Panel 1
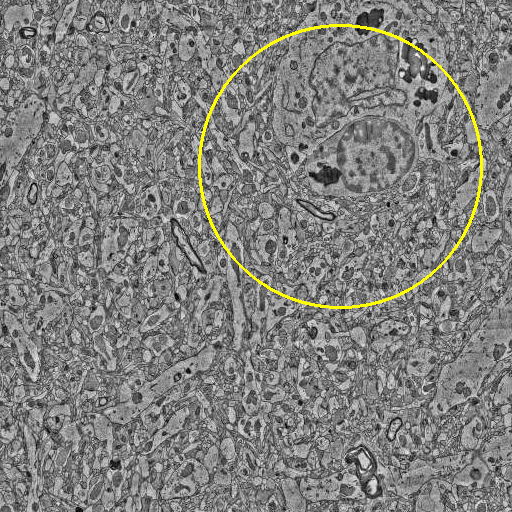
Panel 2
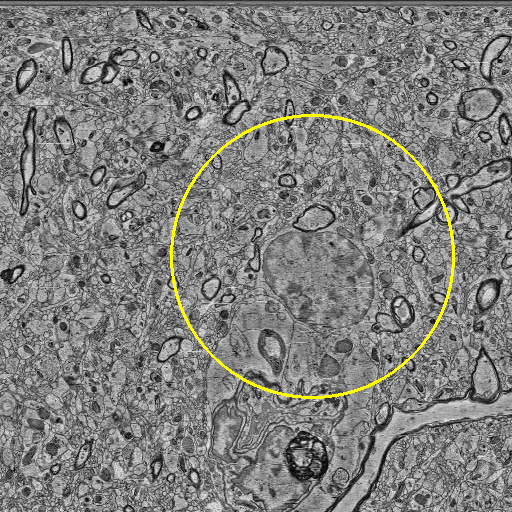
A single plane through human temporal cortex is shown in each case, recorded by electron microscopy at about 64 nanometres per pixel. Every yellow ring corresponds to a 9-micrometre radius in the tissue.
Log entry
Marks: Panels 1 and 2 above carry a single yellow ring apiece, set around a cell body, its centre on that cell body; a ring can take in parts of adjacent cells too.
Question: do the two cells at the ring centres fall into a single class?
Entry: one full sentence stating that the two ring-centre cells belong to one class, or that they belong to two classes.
The two ring-centre cells in Panels 1 and 2 belong to one class.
